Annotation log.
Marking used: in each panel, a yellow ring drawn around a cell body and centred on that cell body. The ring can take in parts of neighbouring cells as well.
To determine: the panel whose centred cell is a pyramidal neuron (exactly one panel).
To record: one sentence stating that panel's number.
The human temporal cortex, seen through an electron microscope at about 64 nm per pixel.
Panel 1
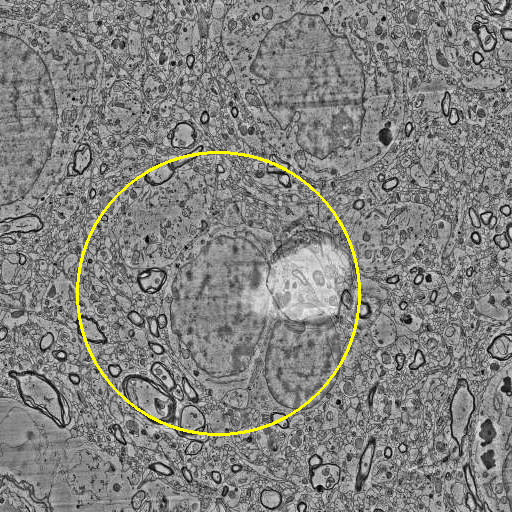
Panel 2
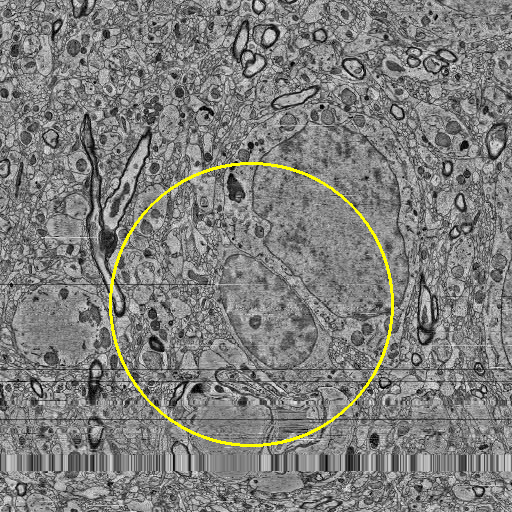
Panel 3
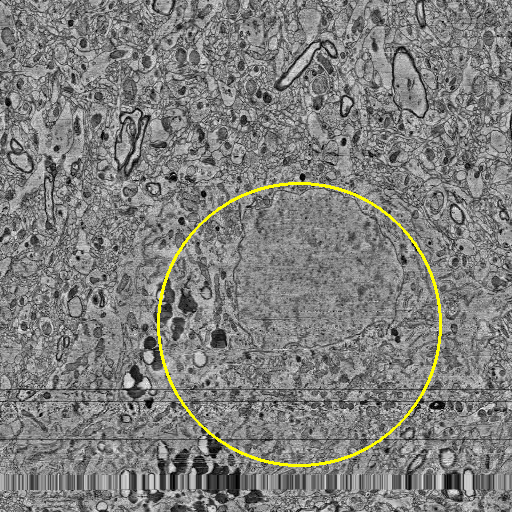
Panel 3 shows it at the centre of its ring.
